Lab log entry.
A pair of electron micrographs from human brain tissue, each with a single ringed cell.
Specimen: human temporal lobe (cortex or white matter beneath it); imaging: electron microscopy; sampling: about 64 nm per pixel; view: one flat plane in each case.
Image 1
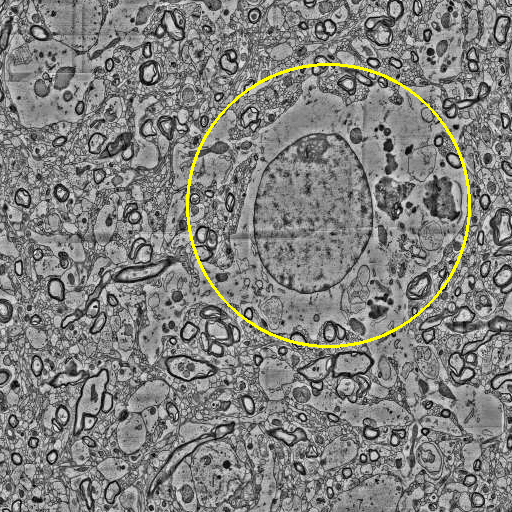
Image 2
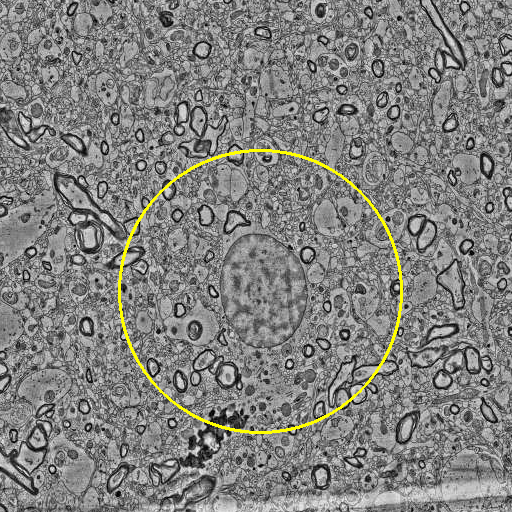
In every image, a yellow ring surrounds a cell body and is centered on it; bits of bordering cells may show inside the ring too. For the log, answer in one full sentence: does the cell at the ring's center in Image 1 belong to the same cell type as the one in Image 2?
No, the cells at the ring centers in Image 1 and Image 2 are of separate types.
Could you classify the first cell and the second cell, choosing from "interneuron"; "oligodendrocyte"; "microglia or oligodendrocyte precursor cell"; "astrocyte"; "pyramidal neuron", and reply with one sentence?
The second cell is an oligodendrocyte, while the first is an astrocyte.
